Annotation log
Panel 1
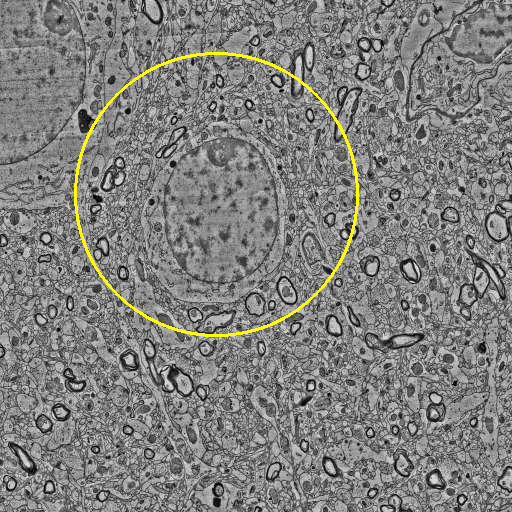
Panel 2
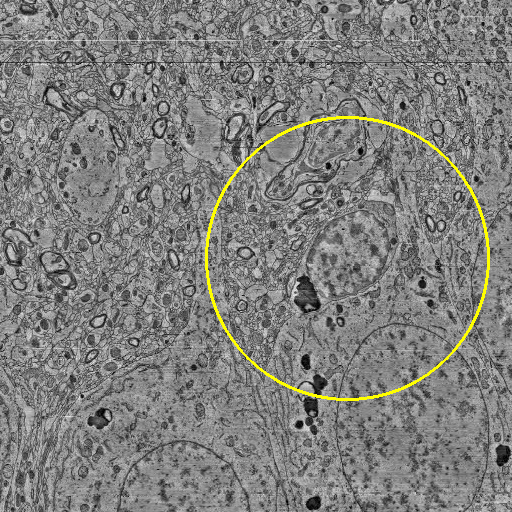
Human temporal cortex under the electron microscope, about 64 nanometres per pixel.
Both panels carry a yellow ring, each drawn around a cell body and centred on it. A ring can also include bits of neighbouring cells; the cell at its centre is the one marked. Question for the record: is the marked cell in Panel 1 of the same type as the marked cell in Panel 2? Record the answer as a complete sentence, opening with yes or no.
No, the marked cells in Panel 1 and Panel 2 are of two types.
